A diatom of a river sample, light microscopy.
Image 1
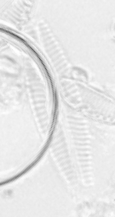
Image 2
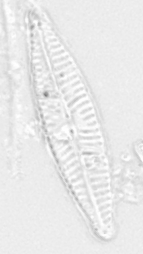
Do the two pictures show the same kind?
Yes, both are Navicula.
